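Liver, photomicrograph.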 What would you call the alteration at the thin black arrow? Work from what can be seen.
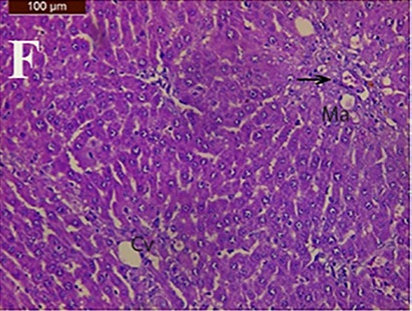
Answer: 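Inflammatory cells infiltration. A cluster of small dark round nuclei lies at the mark. The surrounding hepatocytes have pink cytoplasm and paler nuclei.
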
